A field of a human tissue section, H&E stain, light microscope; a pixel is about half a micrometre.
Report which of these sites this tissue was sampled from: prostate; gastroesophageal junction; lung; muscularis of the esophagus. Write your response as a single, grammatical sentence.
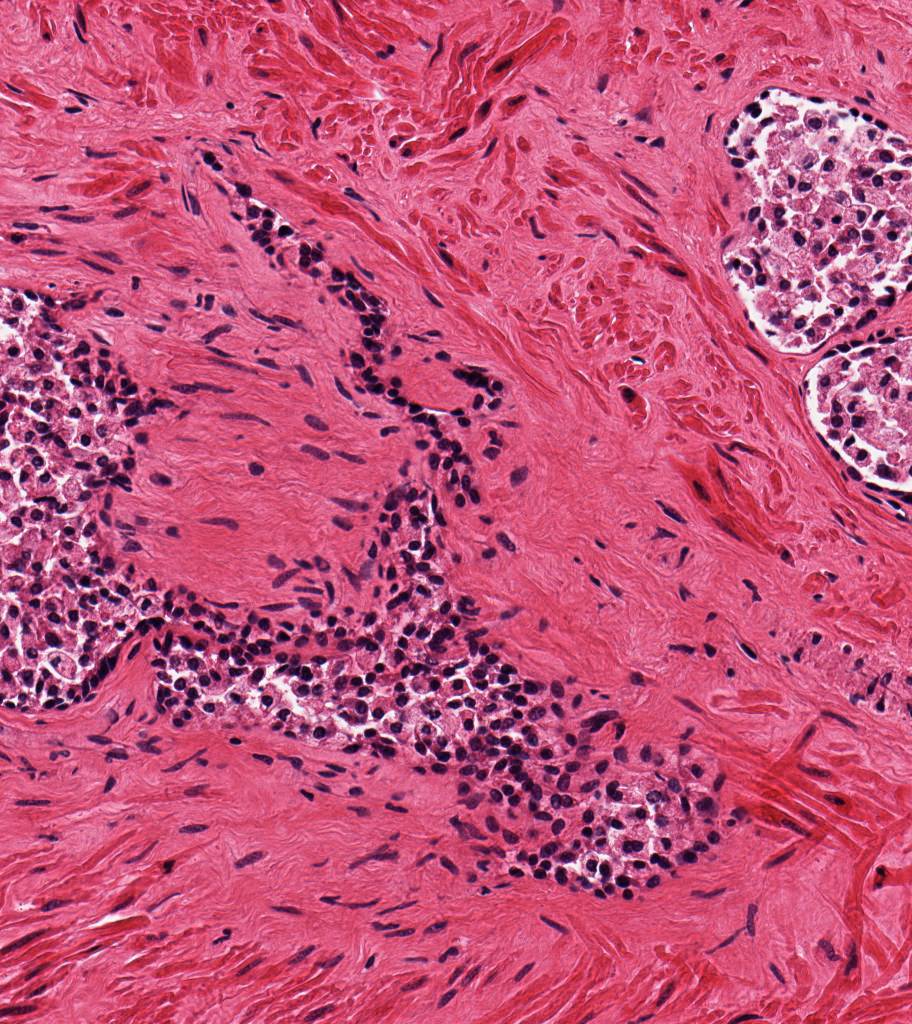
The sample was taken from the prostate.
